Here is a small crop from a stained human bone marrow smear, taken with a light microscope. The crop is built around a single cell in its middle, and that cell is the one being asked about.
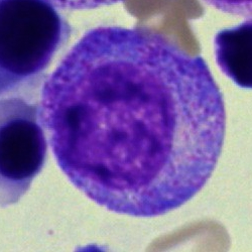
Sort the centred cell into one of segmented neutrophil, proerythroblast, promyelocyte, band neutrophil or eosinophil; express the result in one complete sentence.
The crop's centre is taken up by a promyelocyte.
